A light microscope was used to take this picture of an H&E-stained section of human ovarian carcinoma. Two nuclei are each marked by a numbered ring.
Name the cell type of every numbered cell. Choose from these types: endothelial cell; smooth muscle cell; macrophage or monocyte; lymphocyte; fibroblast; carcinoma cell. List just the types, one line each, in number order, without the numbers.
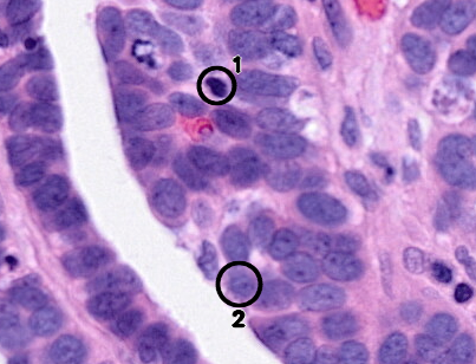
lymphocyte
carcinoma cell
